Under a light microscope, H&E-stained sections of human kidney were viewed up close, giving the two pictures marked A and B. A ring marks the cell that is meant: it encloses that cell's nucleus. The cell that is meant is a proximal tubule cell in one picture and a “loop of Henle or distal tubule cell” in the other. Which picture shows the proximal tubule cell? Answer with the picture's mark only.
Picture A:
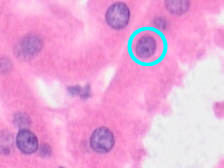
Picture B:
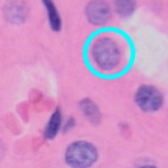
A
